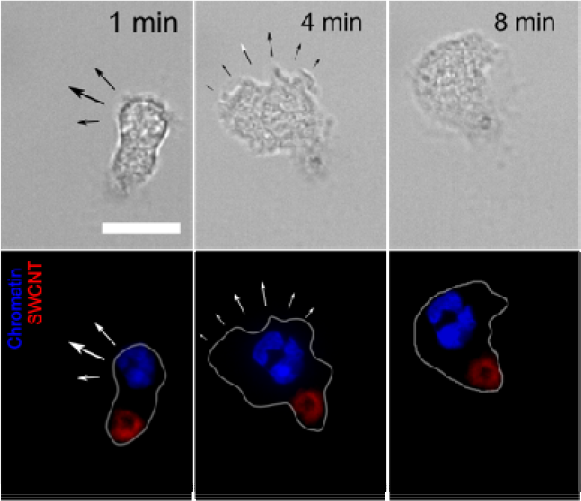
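These are neutrophils crawling on a surface, seen in grey phase contrast above and in fluorescence below. The cell spreads out and extends ruffled protrusions at one side, toward which the arrows point, while it changes from an elongated to a broad, flattened shape. A compact red spot lies at the opposite end, at the back of the moving cell, away from the protruding front.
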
